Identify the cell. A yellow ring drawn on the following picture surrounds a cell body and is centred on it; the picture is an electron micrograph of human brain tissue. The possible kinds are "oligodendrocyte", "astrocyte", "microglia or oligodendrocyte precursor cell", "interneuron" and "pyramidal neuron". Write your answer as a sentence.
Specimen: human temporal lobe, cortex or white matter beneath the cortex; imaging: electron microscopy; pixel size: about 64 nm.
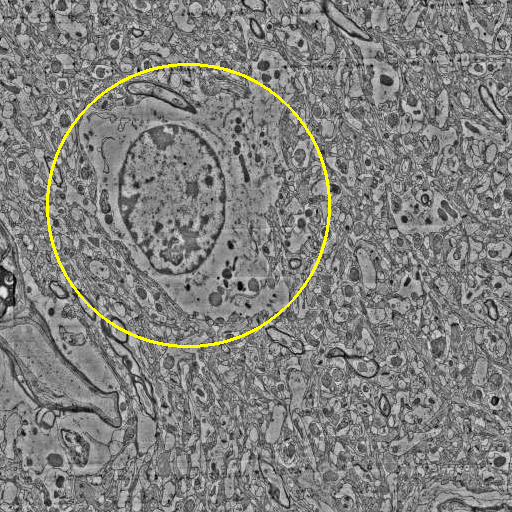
The cell identified by the ring is an astrocyte.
